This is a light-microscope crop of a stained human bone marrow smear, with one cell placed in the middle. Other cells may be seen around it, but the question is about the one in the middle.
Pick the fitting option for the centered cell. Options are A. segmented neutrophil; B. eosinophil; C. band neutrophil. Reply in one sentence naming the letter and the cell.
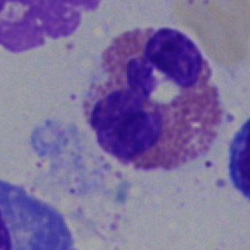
At the centre of the crop lies an eosinophil, which makes option B correct.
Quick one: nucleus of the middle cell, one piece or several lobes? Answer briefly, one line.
Counting the nuclear lobes gives a total of at least two.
